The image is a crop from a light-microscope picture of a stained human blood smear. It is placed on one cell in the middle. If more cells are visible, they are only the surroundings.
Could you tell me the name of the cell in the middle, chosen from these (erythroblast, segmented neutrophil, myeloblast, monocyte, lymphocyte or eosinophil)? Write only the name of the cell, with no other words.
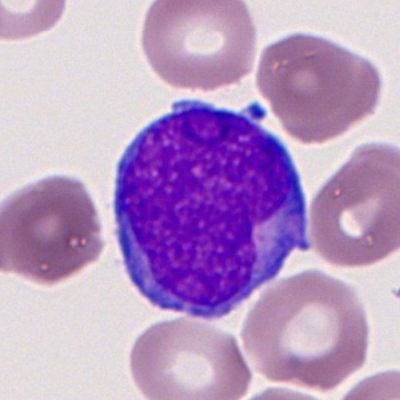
myeloblast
